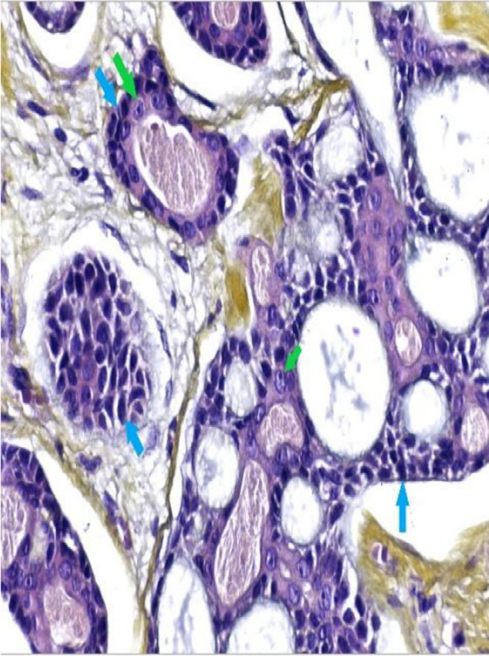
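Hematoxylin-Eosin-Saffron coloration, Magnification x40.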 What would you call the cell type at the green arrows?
Luminal ductal cells.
